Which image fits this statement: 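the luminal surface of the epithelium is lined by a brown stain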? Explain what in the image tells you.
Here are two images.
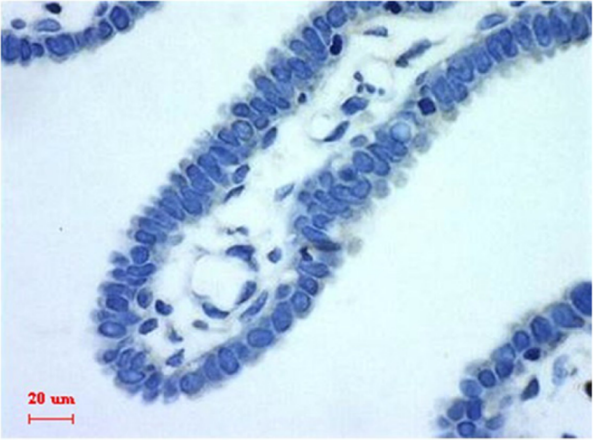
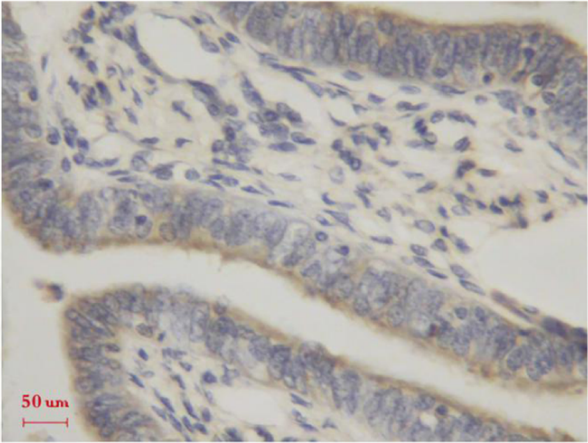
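First image: the epithelium and stroma are blue only, without brown at the luminal edge. Second image: a brown line runs along the luminal surface of the epithelial folds. That points to this answer: the second image.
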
